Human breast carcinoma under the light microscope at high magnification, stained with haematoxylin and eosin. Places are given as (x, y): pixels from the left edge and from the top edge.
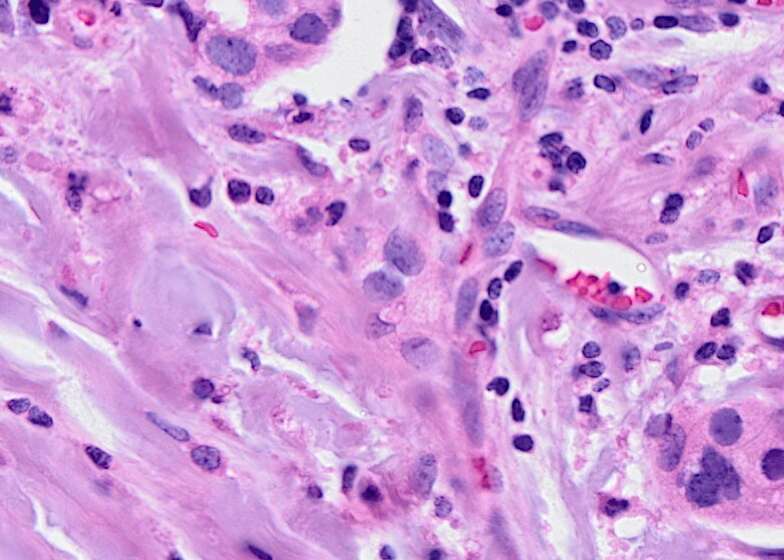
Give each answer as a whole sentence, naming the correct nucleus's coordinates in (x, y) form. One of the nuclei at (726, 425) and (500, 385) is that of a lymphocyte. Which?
Between the pair, the nucleus at (500, 385) belongs to a lymphocyte.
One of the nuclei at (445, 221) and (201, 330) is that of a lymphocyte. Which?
The nucleus contained in a lymphocyte is the one at (445, 221).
